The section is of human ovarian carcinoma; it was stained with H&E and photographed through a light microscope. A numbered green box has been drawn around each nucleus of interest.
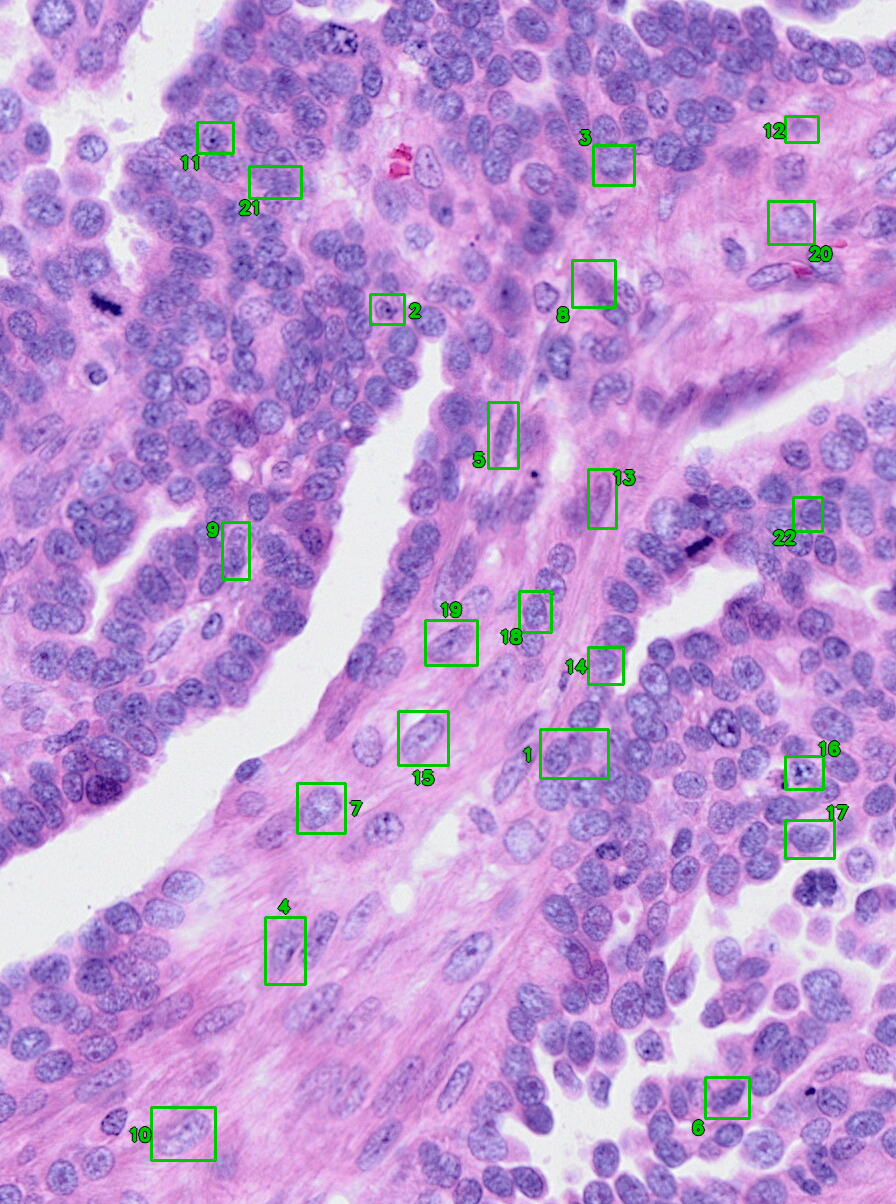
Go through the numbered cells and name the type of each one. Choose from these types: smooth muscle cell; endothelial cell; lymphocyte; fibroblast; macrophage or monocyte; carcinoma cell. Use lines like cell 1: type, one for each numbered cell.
cell 1: carcinoma cell
cell 2: macrophage or monocyte
cell 3: carcinoma cell
cell 4: fibroblast
cell 5: fibroblast
cell 6: carcinoma cell
cell 7: fibroblast
cell 8: fibroblast
cell 9: carcinoma cell
cell 10: fibroblast
cell 11: macrophage or monocyte
cell 12: fibroblast
cell 13: fibroblast
cell 14: carcinoma cell
cell 15: fibroblast
cell 16: macrophage or monocyte
cell 17: carcinoma cell
cell 18: carcinoma cell
cell 19: fibroblast
cell 20: fibroblast
cell 21: carcinoma cell
cell 22: carcinoma cell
